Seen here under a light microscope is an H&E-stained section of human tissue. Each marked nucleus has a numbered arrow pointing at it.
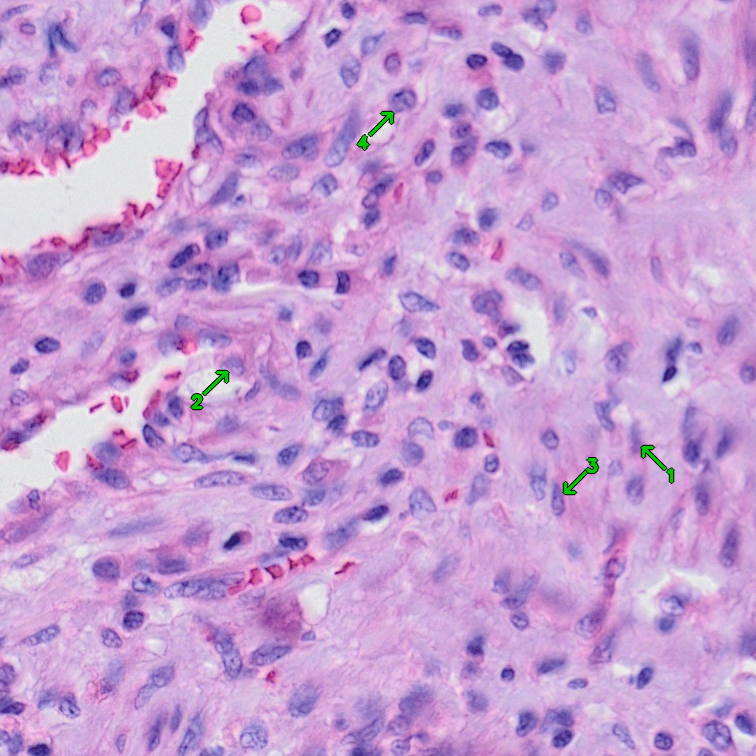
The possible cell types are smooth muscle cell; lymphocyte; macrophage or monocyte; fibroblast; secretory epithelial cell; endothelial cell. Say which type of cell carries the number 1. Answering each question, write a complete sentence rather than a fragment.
Number 1 is placed on a smooth muscle cell here.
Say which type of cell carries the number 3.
The nucleus labelled 3 belongs to a smooth muscle cell.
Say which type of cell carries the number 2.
Heads up, the cell numbered 2 is an endothelial cell.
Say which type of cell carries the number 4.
Cell 4 in the field is a macrophage or monocyte.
